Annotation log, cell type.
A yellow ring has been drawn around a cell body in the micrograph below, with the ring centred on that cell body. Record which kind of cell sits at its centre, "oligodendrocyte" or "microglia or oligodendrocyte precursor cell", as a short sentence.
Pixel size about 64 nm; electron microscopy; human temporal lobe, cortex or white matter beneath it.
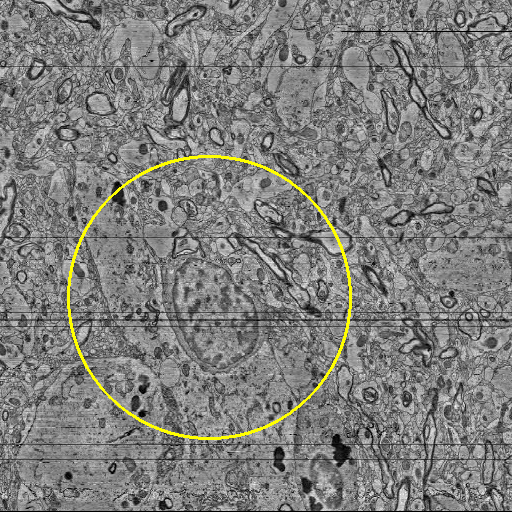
The cell at the centre of this ring is an oligodendrocyte.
